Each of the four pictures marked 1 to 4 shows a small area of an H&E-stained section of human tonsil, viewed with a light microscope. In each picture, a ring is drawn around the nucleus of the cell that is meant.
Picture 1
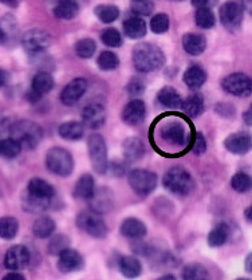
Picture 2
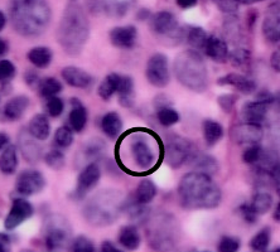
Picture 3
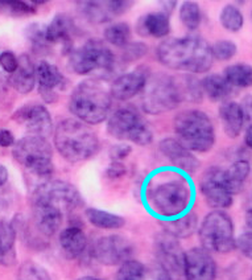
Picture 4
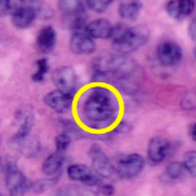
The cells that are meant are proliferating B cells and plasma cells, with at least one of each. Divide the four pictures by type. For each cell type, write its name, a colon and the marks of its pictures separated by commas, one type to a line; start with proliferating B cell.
proliferating B cell: 2, 3, 4
plasma cell: 1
